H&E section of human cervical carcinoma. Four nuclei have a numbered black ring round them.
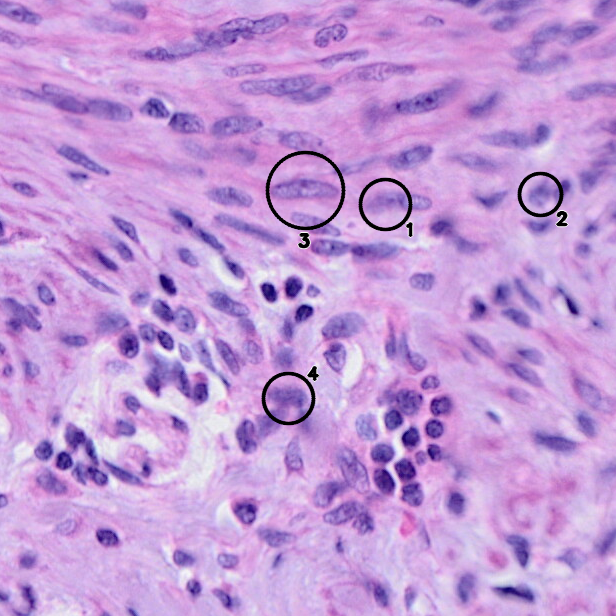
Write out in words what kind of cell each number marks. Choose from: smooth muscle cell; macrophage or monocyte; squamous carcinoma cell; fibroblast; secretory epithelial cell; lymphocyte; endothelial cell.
Cells 1 and 3 are smooth muscle cells. Cells 2 and 4 are fibroblasts.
